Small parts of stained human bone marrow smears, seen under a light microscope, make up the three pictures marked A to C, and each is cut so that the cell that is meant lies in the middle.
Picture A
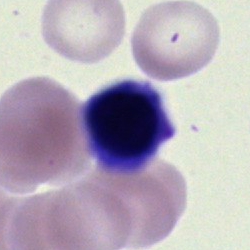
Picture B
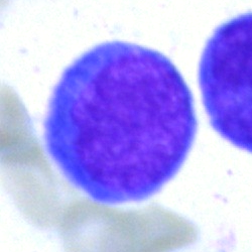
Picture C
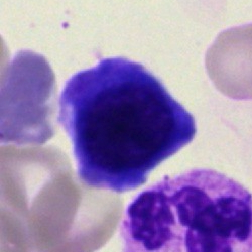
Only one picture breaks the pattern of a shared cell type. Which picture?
B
